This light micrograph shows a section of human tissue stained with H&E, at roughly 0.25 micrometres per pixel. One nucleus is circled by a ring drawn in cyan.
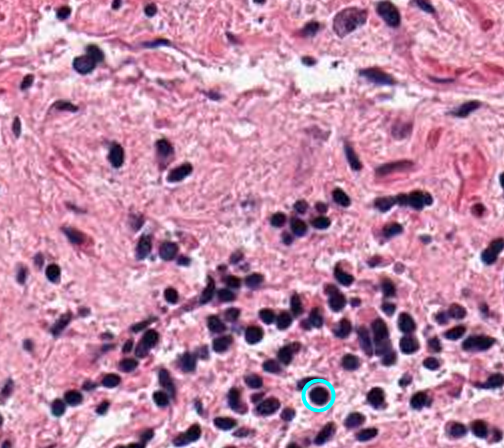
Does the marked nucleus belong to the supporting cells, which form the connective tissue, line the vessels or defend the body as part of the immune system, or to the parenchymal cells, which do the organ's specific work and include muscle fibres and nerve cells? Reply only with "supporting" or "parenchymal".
supporting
